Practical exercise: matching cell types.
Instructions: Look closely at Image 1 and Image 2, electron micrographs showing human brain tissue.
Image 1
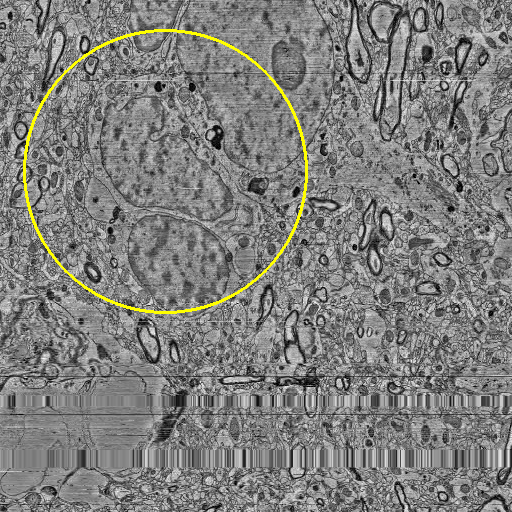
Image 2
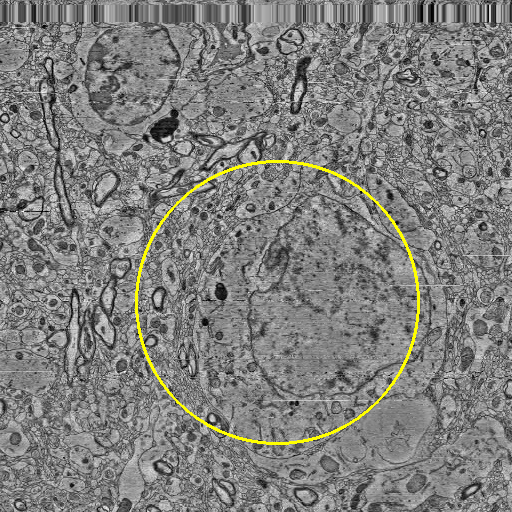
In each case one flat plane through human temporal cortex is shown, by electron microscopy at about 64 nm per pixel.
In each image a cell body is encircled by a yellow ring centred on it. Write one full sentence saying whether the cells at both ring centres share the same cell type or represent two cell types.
Across Image 1 and Image 2, the cells at the ring centres represent two cell types.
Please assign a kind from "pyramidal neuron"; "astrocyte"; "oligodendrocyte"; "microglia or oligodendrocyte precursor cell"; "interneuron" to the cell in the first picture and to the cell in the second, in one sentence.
In the first picture we have an interneuron, and in the second, a pyramidal neuron.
